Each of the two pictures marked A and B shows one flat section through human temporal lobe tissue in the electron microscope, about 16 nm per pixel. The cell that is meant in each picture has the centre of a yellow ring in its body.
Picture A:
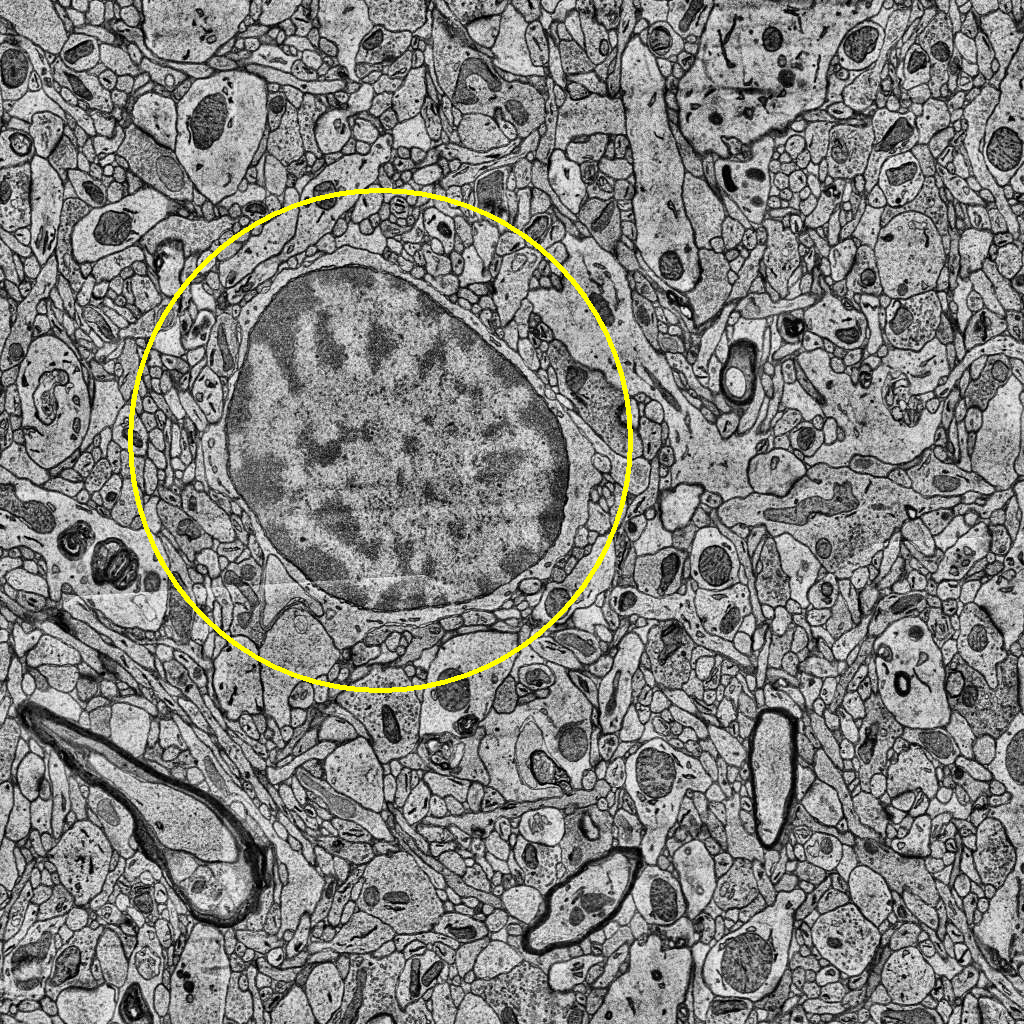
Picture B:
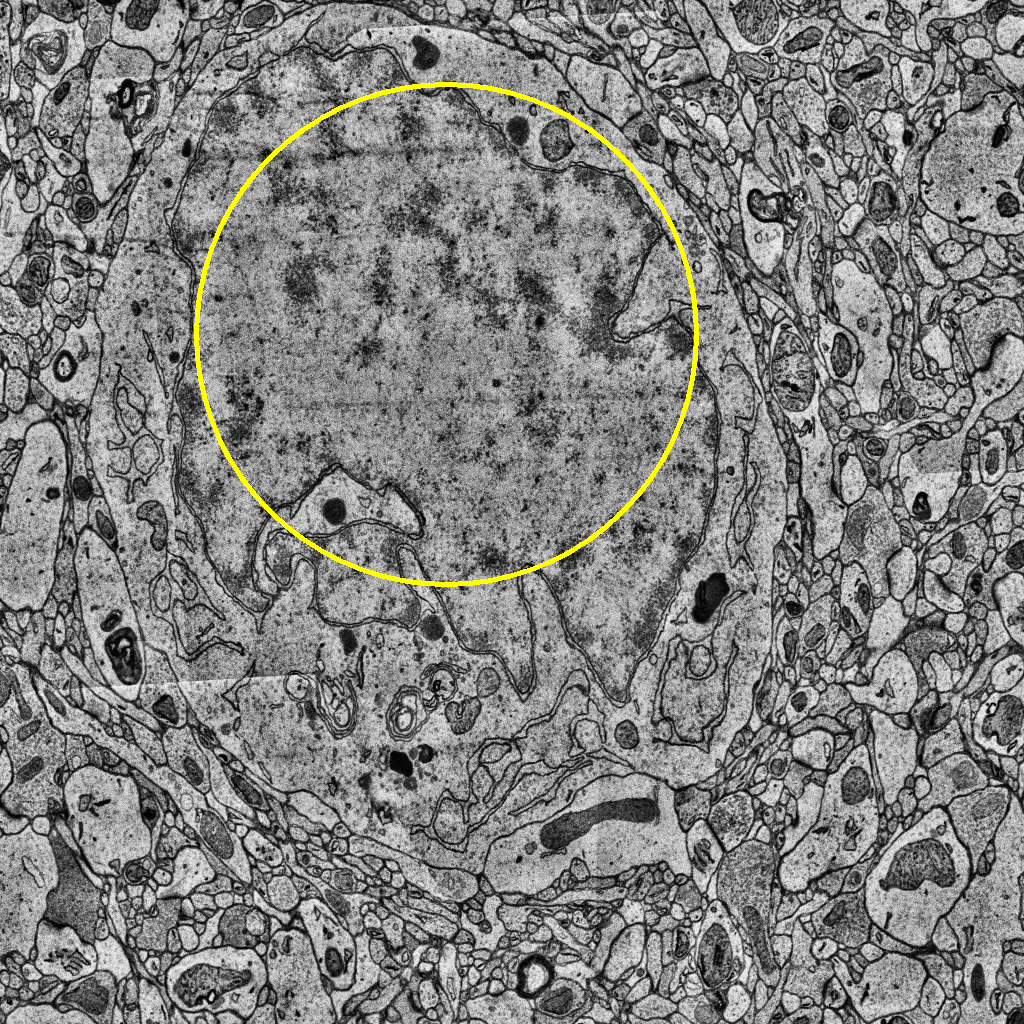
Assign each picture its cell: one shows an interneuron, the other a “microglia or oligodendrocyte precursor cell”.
In picture A the cell is a “microglia or oligodendrocyte precursor cell”; in picture B, an interneuron.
